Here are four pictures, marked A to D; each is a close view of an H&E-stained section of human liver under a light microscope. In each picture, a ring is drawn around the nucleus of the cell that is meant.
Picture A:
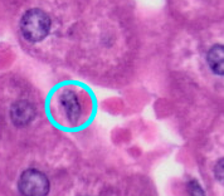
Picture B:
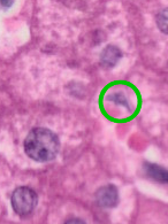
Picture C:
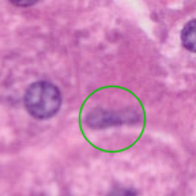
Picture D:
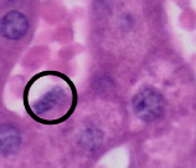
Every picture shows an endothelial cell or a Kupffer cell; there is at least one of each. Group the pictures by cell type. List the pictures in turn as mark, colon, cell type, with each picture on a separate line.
A: Kupffer cell
B: endothelial cell
C: Kupffer cell
D: Kupffer cell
